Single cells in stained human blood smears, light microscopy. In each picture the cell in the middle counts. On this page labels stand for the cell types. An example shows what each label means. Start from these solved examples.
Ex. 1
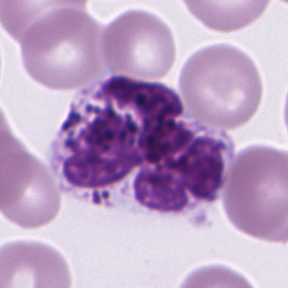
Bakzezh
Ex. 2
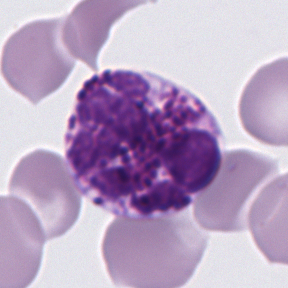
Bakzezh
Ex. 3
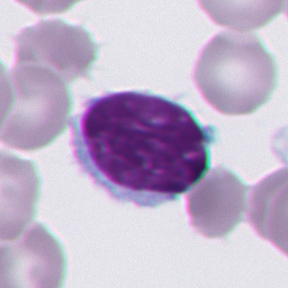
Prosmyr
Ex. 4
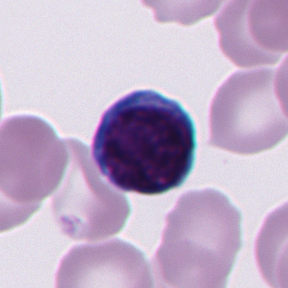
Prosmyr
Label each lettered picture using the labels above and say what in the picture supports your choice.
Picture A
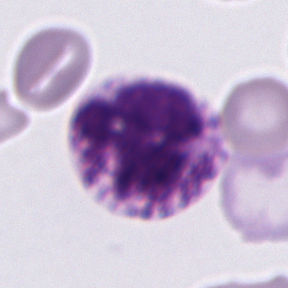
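Answer: Bakzezh. Coarse dark purple-blue granules are scattered through the cytoplasm.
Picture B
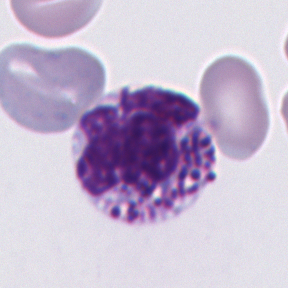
Answer: Bakzezh. The cytoplasm between the granules is pale and nearly colourless.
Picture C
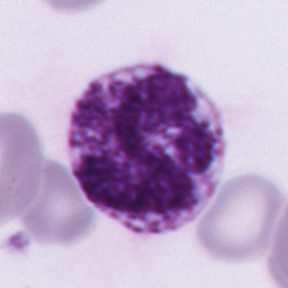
Answer: Bakzezh. The dark central mass is split by paler clefts into several lobes.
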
